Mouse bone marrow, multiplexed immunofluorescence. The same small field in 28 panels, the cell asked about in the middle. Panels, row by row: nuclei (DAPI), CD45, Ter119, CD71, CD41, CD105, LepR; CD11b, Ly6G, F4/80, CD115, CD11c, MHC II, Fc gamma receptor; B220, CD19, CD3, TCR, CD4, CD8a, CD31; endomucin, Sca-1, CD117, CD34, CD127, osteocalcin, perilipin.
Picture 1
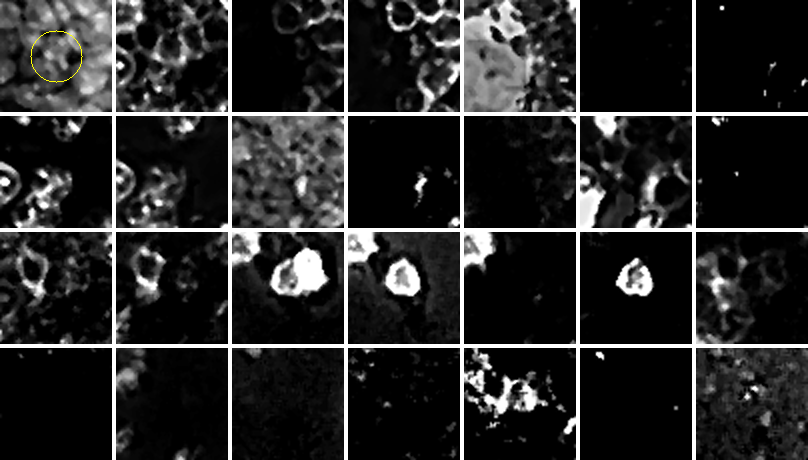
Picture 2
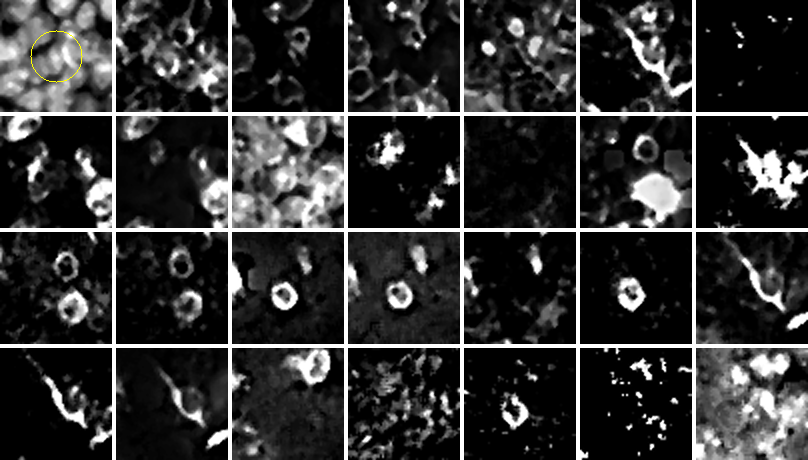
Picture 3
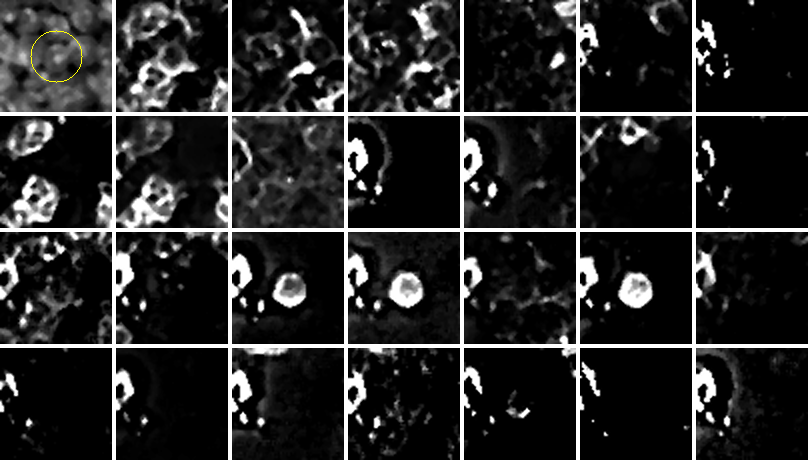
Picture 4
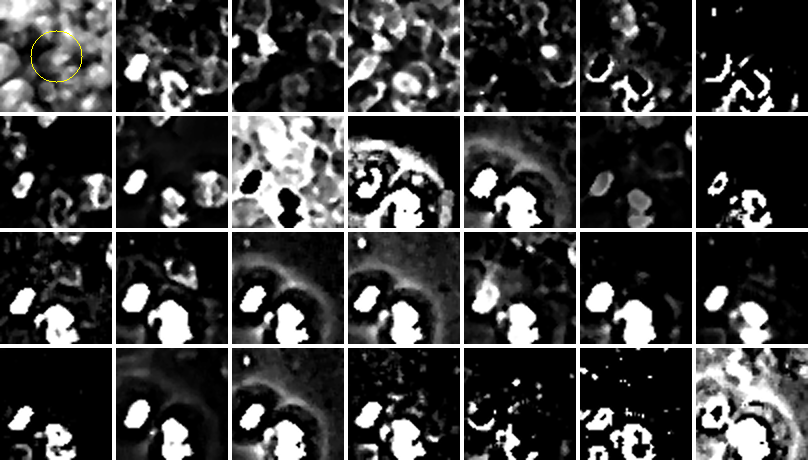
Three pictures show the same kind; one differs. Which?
Picture 4: an erythroid progenitor (CFU-E), while the others are CD8 T cells.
